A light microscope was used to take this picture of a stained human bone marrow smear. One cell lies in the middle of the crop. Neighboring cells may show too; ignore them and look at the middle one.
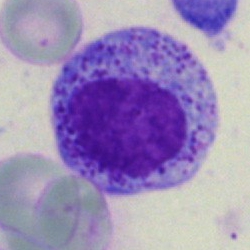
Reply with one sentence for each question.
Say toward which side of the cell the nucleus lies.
The nucleus is pushed toward the lower left of the cell.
